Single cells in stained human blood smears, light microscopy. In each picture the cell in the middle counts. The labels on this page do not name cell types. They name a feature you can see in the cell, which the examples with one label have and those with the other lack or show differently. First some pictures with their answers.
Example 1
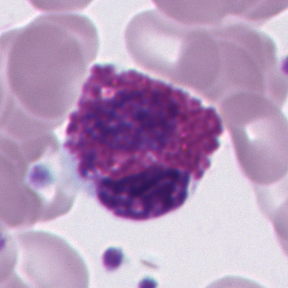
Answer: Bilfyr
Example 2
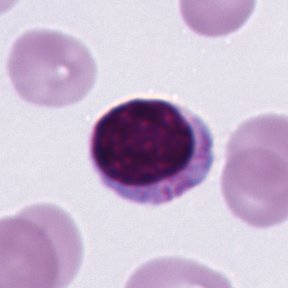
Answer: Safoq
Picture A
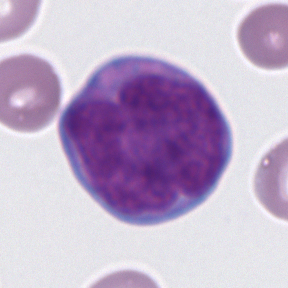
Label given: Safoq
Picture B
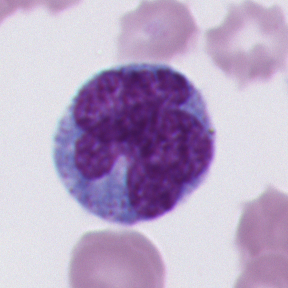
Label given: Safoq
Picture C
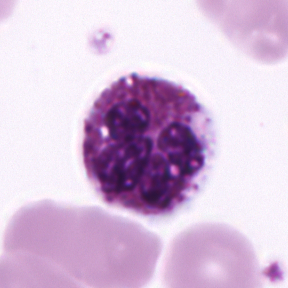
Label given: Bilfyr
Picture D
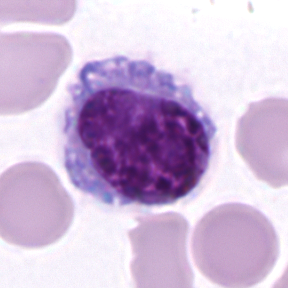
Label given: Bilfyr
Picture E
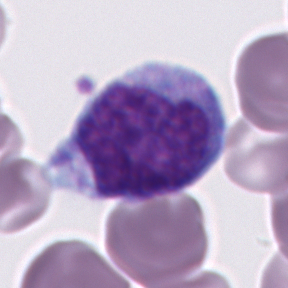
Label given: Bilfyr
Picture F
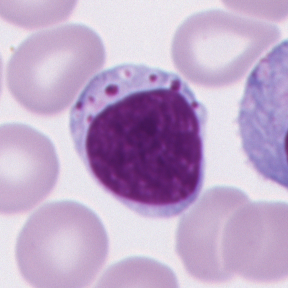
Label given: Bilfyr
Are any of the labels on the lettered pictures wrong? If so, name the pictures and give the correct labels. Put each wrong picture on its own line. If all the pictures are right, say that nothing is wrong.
C: Safoq, not Bilfyr
F: Safoq, not Bilfyr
